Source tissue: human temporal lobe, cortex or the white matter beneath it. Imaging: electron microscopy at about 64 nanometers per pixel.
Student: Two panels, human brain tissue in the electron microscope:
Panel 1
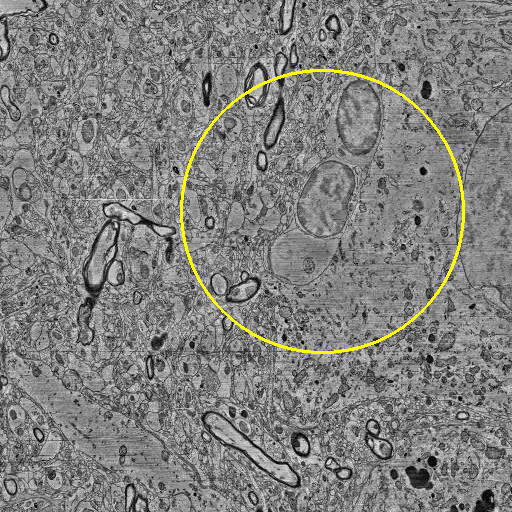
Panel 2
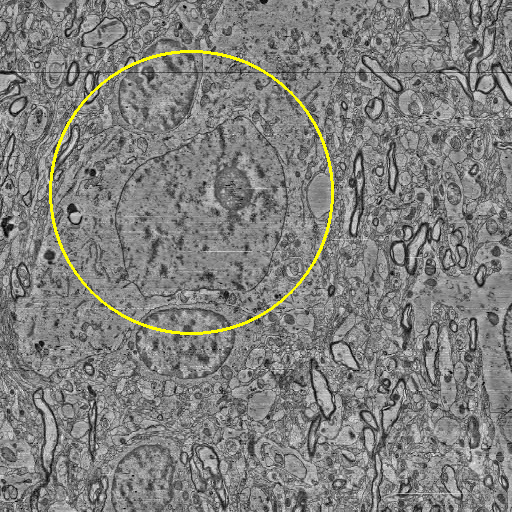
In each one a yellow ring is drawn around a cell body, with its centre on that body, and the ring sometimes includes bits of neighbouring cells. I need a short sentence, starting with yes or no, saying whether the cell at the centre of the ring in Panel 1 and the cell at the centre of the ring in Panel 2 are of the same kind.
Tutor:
No, they are two kinds of cell.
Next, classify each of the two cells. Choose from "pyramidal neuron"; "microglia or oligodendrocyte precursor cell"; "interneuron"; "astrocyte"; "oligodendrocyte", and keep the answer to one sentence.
In the first picture it is a microglial cell or oligodendrocyte precursor cell; in the second it is a pyramidal neuron.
